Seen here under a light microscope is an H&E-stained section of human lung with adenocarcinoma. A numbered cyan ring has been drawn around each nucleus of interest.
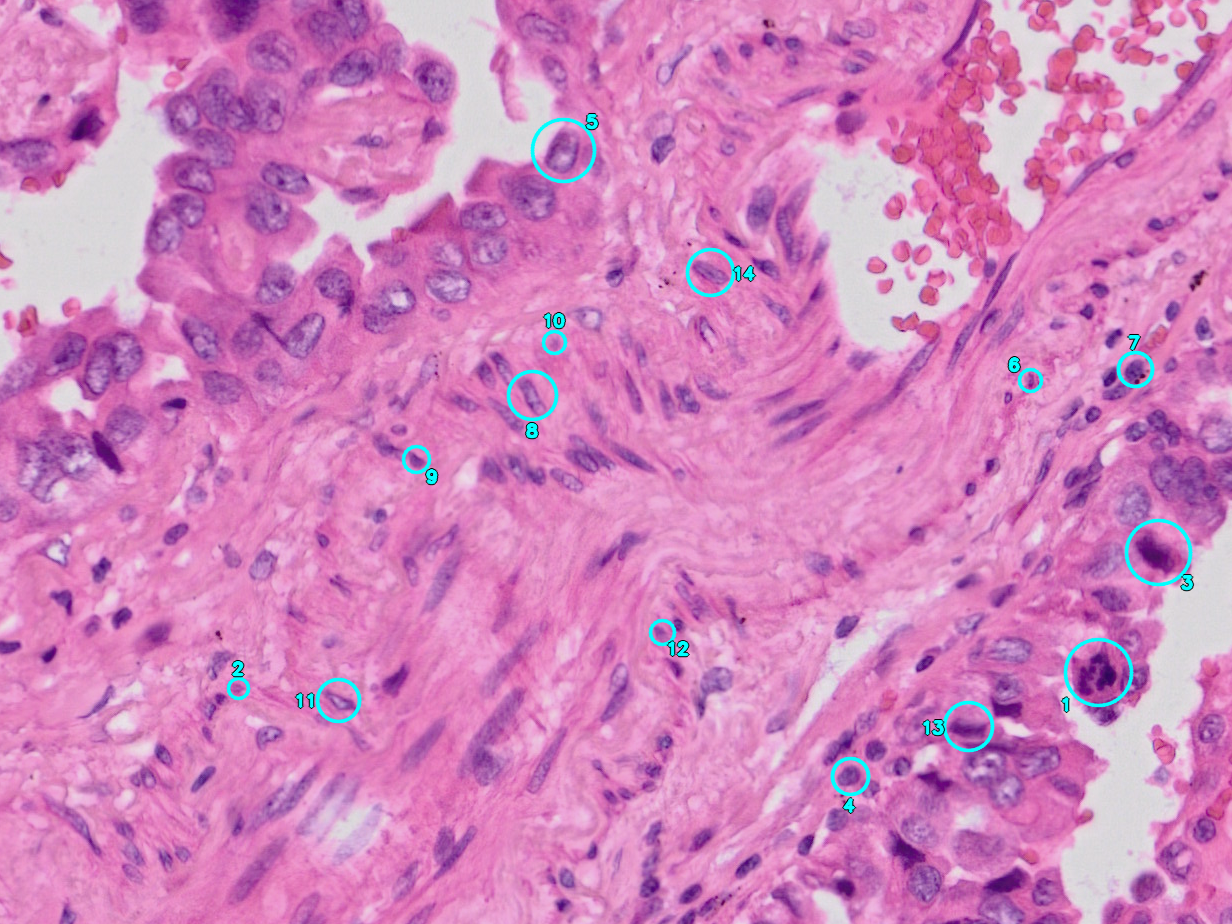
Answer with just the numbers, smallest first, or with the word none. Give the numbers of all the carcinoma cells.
1, 3, 5, 13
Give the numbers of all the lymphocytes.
4, 7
